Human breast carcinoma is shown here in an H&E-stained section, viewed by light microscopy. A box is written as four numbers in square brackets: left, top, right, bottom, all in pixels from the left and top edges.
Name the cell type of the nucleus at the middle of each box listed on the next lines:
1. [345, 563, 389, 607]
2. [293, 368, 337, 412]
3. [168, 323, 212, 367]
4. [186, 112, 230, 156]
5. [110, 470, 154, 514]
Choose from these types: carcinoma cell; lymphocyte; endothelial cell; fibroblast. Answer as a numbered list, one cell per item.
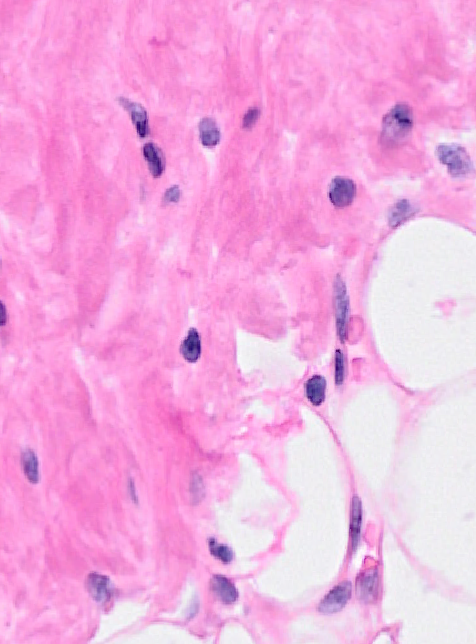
1. endothelial cell
2. lymphocyte
3. lymphocyte
4. lymphocyte
5. fibroblast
